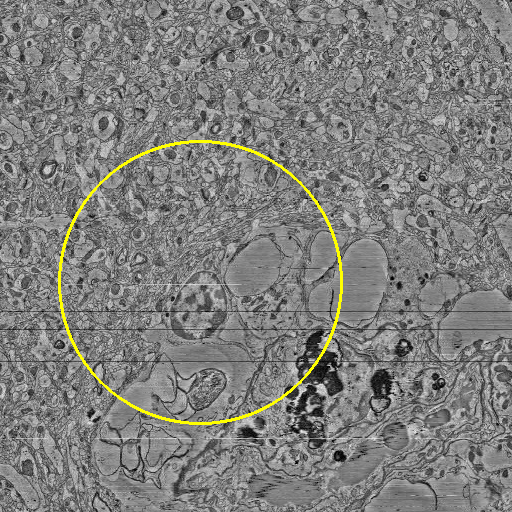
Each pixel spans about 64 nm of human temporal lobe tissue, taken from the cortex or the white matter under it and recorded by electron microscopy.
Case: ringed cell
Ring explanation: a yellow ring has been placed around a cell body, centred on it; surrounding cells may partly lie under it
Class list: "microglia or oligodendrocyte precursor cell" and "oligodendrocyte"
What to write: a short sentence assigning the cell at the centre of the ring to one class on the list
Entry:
The cell at the ring's centre is a microglial cell or oligodendrocyte precursor cell.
